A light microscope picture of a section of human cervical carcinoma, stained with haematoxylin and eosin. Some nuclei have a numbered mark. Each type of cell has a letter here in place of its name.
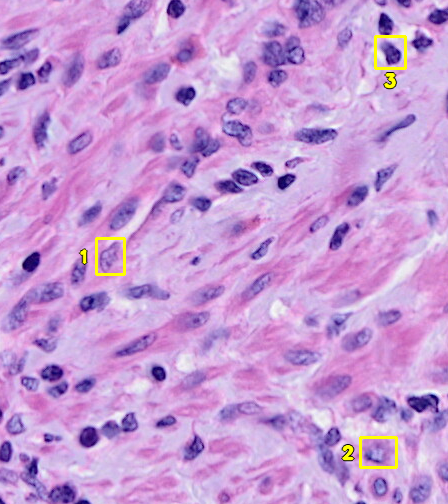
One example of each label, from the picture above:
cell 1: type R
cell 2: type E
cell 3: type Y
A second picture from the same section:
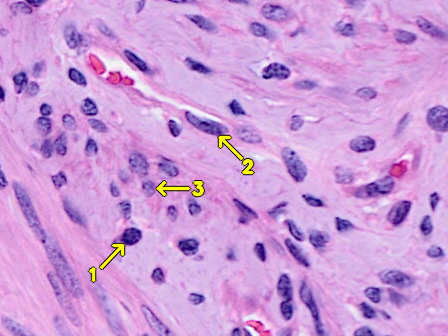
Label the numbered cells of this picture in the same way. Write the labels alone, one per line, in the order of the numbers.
type Y
type R
type E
